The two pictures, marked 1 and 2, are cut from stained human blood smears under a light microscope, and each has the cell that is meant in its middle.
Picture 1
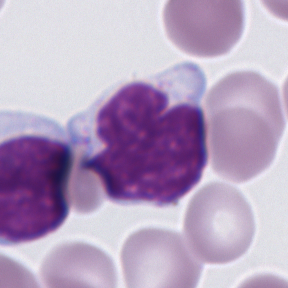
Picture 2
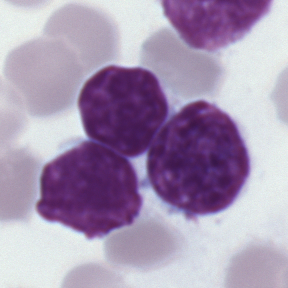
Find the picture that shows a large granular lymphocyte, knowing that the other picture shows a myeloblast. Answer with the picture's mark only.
1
